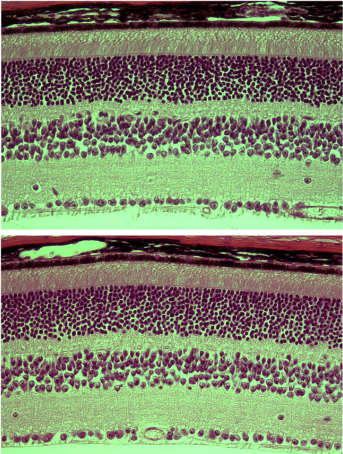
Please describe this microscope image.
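These two retinal sections show the same layered arrangement, with a dark pigmented band on top. Beneath it comes a thick band of small, round, tightly packed purple nuclei, then a pale fibrous band, then a looser row of larger nuclei. Below a broad pale band lies a single sparse row of nuclei along the inner edge. The two images look much alike, with the dense outer row of nuclei of similar thickness in both.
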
